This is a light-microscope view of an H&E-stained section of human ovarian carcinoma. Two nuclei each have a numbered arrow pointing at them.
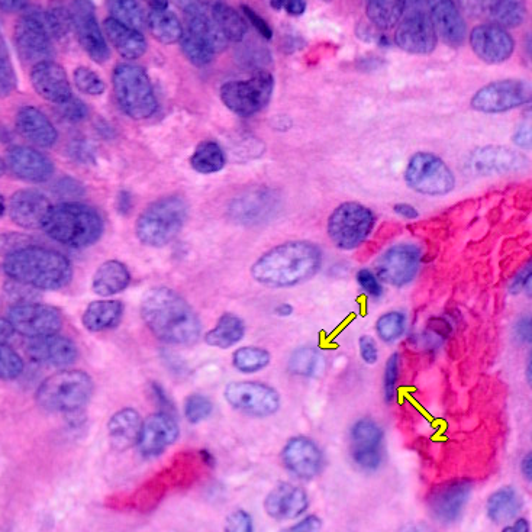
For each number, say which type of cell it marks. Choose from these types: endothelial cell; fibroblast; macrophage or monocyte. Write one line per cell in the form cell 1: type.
cell 1: fibroblast
cell 2: endothelial cell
